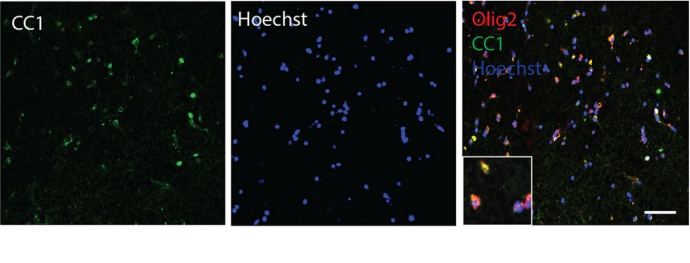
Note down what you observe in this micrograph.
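The blue channel shows numerous small, round or oval nuclei spread fairly evenly with no layering. The red channel marks a subset of these cells as compact bright bodies, and the green channel marks a further, partly overlapping subset, mostly as small rounded cell bodies with little visible process. In the merged view many of the red and green cells coincide and appear yellowish, sitting on blue nuclei, while other nuclei carry neither colour.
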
